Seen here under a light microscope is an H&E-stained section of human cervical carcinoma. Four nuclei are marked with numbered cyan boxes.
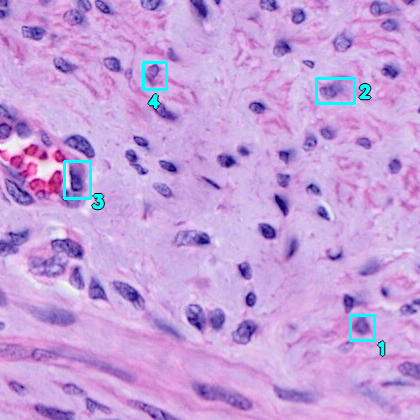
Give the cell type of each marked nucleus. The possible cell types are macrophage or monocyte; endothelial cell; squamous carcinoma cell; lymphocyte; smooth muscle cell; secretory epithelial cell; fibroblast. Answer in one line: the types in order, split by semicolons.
smooth muscle cell; smooth muscle cell; endothelial cell; smooth muscle cell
